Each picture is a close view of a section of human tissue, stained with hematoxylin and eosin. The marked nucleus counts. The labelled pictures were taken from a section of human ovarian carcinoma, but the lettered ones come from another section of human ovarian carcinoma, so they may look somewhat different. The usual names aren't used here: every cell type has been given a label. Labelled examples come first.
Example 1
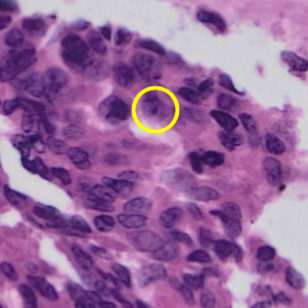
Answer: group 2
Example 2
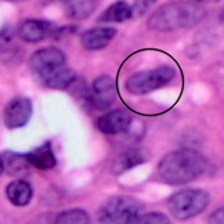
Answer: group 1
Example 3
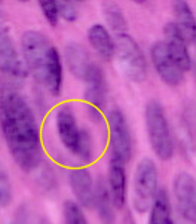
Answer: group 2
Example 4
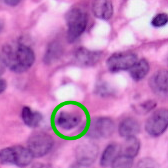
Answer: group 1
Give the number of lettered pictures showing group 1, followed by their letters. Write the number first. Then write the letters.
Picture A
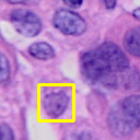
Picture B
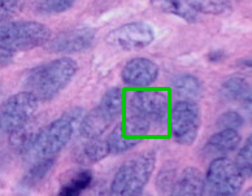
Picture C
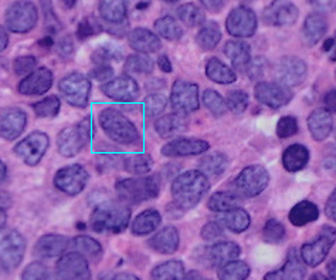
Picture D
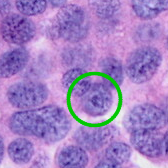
1, namely A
